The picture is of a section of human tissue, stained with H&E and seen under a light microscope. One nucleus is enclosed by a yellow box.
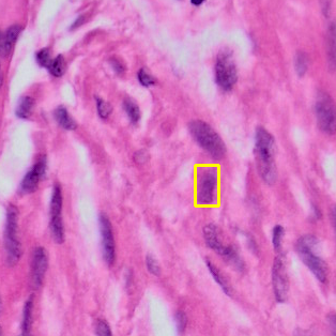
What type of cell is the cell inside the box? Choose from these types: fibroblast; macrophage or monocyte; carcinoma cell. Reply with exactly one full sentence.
In the context of this tissue, the cell inside the box is a fibroblast.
